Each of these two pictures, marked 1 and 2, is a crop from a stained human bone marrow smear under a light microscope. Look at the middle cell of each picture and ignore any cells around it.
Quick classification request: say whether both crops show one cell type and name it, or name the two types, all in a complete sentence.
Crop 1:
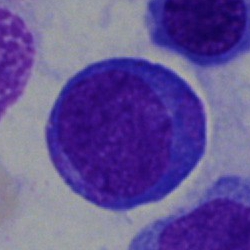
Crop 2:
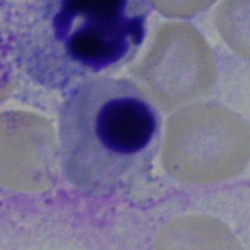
No, sorry, crop 1 shows a blast and crop 2 shows an erythroblast.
